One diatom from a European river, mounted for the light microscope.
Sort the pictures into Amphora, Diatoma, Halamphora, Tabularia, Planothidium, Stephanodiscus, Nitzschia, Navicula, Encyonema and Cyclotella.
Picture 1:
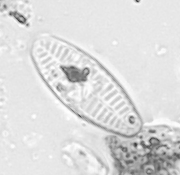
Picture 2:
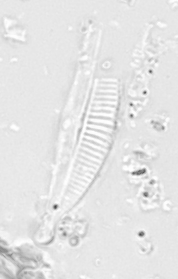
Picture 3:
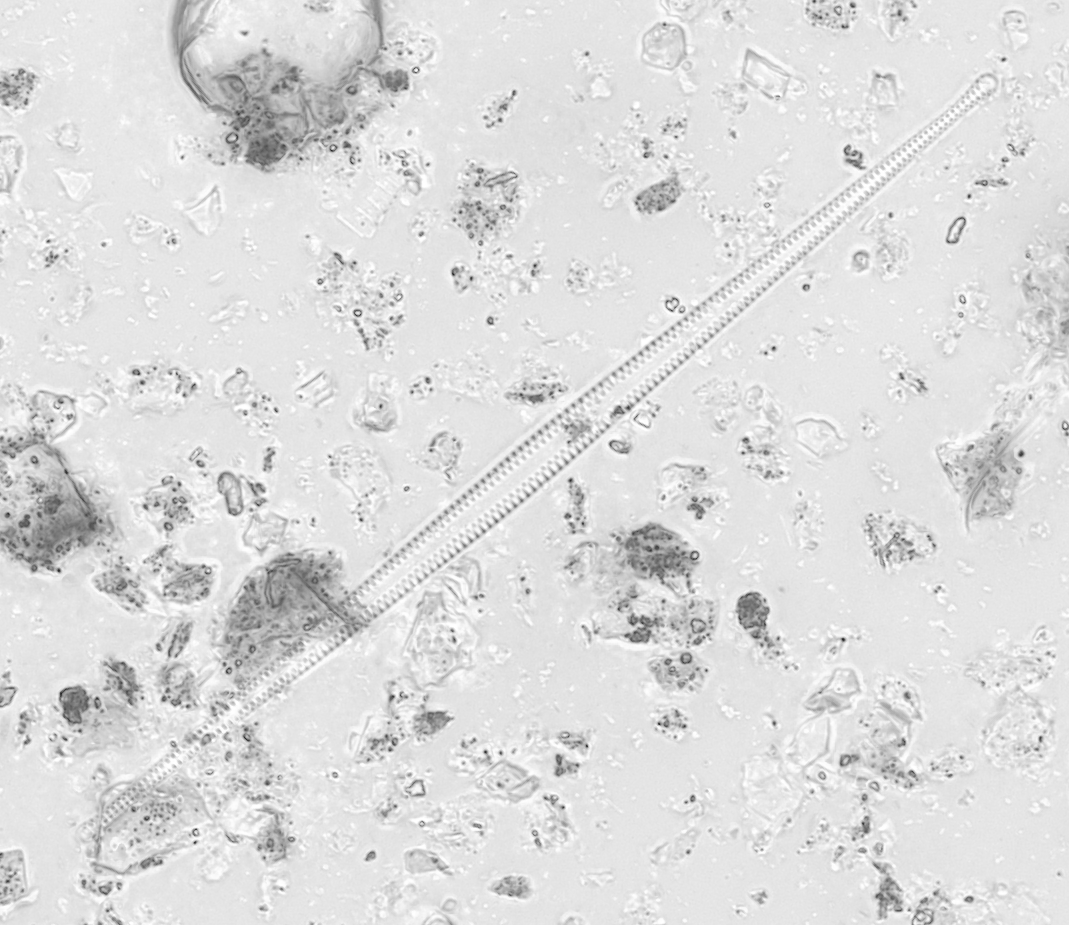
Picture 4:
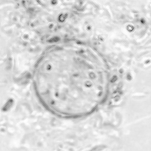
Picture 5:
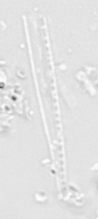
Planothidium: 1
Halamphora: 2
Tabularia: 3
Stephanodiscus: 4
Nitzschia: 5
